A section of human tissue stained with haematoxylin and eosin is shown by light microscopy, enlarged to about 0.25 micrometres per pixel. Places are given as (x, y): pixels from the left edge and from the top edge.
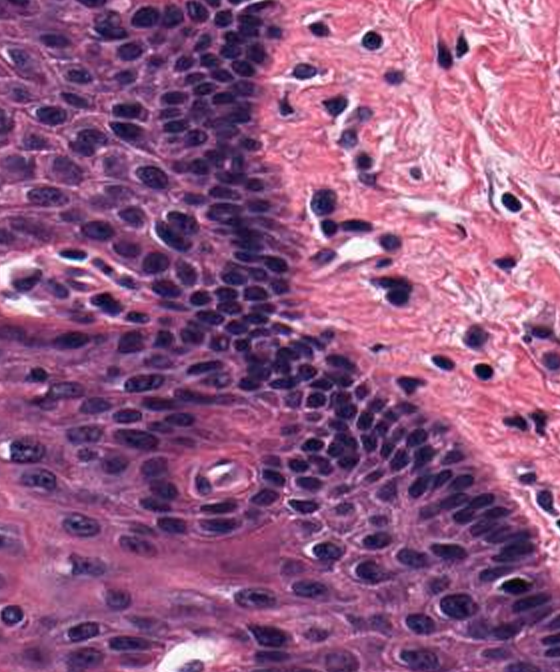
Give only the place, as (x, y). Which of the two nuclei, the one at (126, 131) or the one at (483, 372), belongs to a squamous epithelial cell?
(126, 131)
